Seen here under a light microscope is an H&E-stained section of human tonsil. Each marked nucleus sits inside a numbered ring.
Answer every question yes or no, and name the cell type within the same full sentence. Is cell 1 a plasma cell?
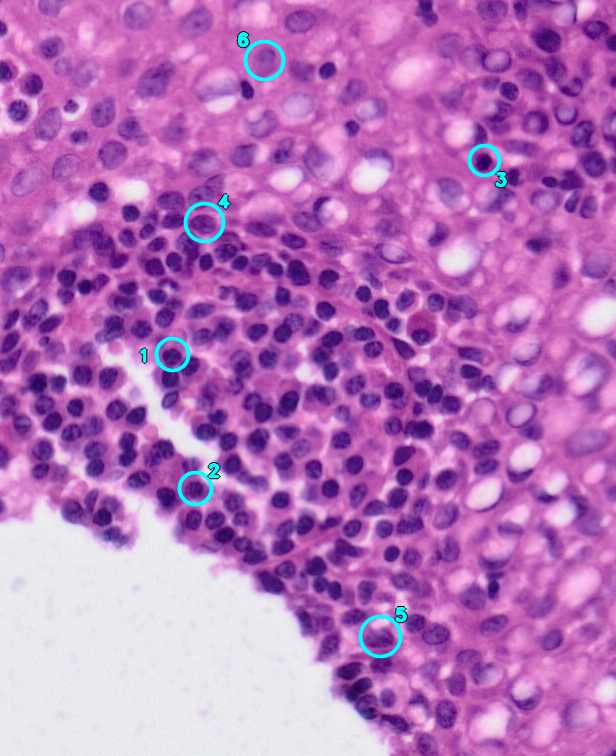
Yes, the cell identified by number 1 is a plasma cell.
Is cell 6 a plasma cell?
No, the cell given number 6 is a squamous epithelial cell, as opposed to a plasma cell.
